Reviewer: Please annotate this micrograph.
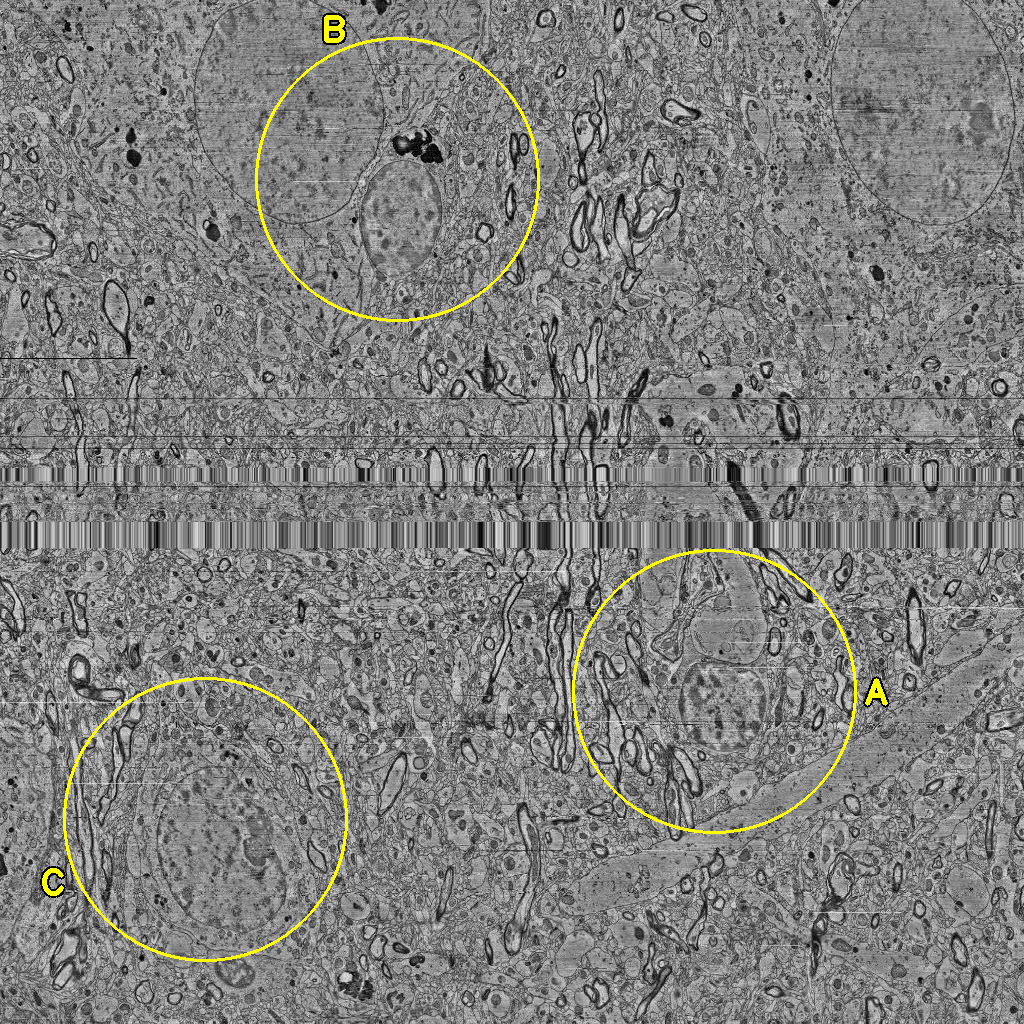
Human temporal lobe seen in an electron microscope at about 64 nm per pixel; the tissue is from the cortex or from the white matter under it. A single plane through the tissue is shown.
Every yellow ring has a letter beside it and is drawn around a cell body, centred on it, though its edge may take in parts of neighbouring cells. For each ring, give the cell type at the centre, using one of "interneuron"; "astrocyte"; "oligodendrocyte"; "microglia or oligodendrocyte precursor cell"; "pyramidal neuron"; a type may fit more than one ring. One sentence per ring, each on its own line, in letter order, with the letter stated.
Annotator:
The cell in the middle of ring A is an oligodendrocyte.
The cell in the middle of ring B is an oligodendrocyte.
The cell in the middle of ring C is an interneuron.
